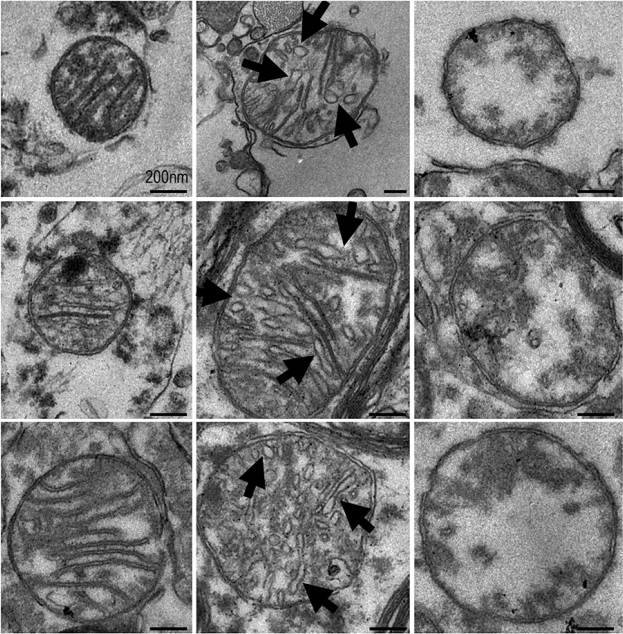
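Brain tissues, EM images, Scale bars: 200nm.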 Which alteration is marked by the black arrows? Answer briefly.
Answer: Vesicular or swollen cristae.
